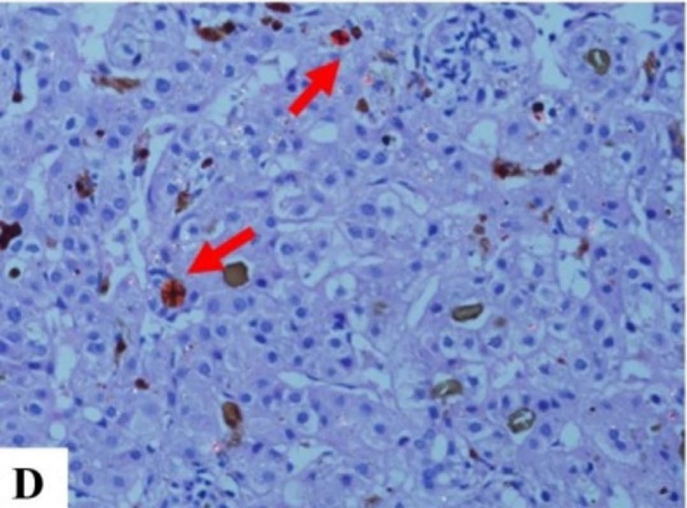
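Liver tissue with plates of polygonal hepatocytes, each with a round nucleus and pale cytoplasm, separated by narrow sinusoids. Scattered cells along the sinusoids hold dark reddish-brown granular pigment, and several rounded brown bodies with paler centers lie among the hepatocytes.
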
